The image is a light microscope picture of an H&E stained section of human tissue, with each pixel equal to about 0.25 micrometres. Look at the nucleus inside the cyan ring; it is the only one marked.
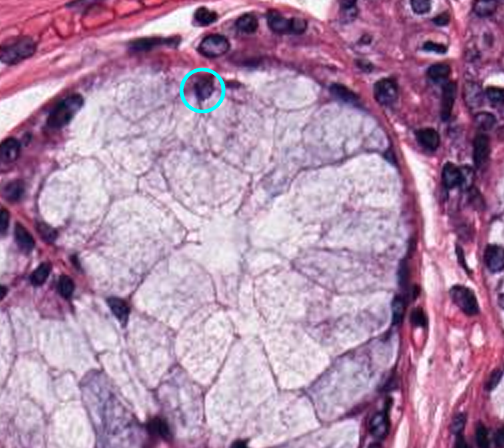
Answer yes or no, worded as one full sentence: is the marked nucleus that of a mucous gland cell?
Yes, the marked nucleus lies within a mucous gland cell.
